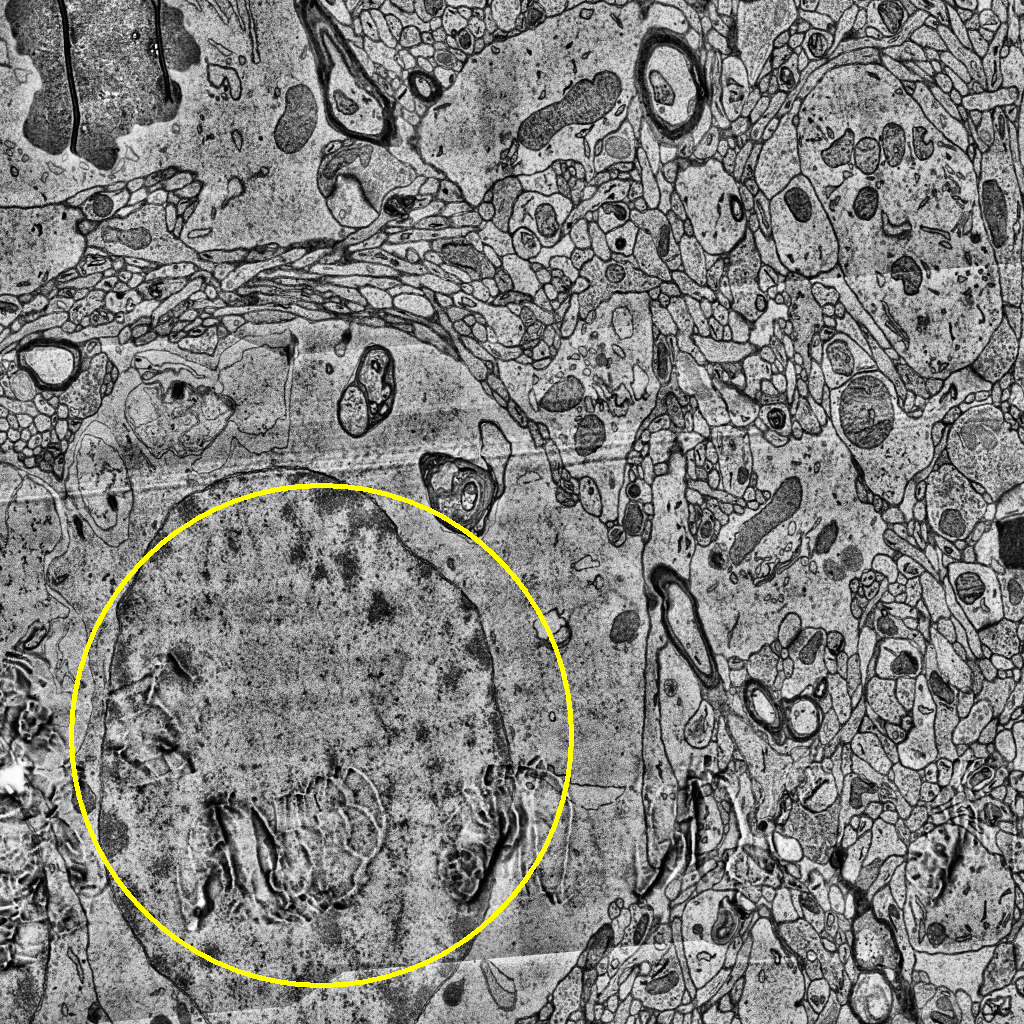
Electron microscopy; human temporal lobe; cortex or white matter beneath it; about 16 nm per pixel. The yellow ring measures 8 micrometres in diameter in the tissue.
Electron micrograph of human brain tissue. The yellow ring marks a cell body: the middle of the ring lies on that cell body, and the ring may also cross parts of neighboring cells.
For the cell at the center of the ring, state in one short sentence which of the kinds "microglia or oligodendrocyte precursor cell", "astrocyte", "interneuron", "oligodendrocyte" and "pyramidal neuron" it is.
This ring's center lies on an astrocyte.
